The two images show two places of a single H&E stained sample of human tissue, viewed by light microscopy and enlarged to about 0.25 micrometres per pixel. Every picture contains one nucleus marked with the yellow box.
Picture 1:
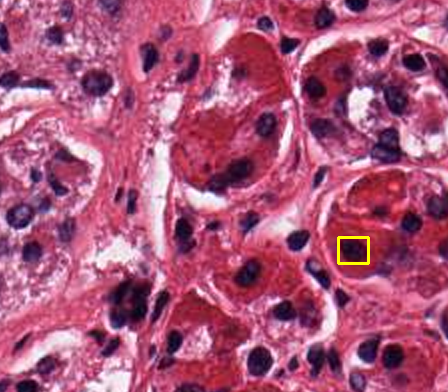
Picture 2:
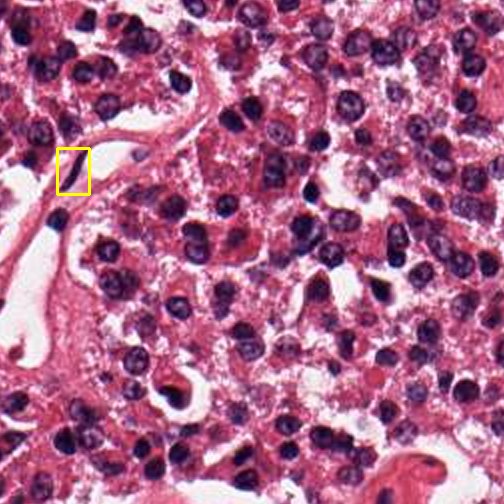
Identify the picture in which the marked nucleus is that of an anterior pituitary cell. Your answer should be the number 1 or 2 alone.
1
